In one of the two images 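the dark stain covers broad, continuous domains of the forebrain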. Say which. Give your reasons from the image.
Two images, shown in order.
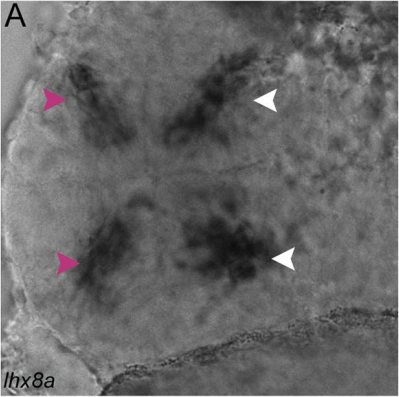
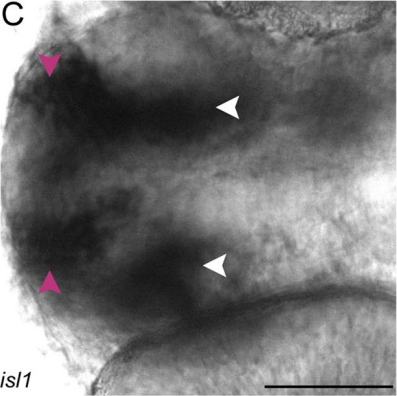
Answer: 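Second image: dark stain spreads in wide bands running from the anterior edge far back on both sides. First image: dark stain is confined to four small separate patches. That points to this answer: the second image.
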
